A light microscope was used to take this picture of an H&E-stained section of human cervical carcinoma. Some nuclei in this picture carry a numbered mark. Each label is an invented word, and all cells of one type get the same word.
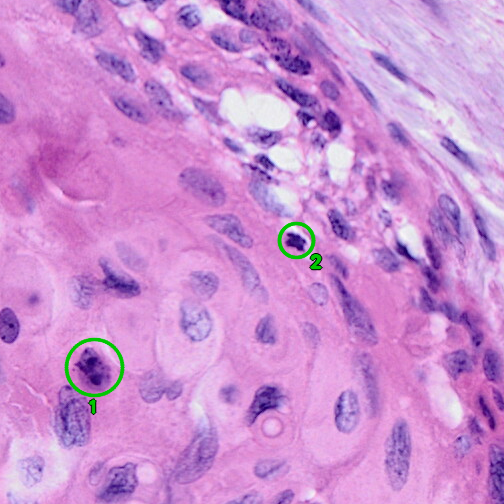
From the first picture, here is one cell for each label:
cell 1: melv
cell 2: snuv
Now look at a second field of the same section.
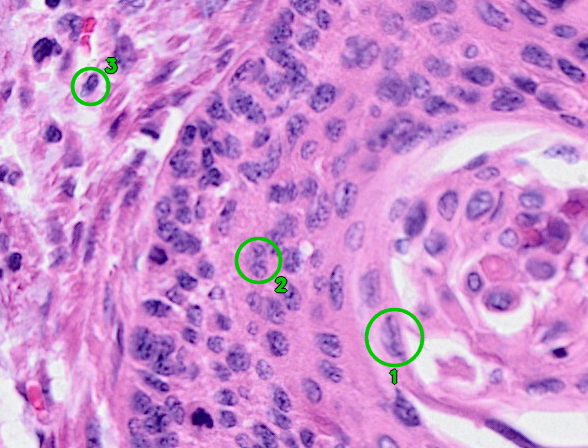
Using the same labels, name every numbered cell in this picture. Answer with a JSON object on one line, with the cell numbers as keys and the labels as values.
{"1": "melv", "2": "melv", "3": "snuv"}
